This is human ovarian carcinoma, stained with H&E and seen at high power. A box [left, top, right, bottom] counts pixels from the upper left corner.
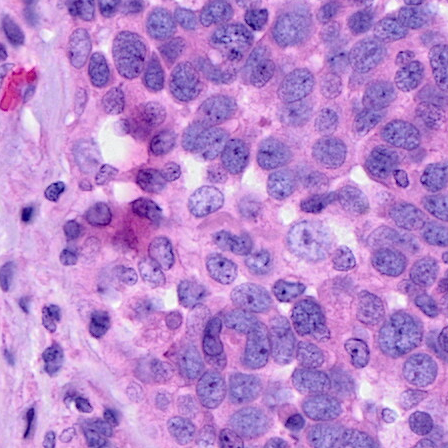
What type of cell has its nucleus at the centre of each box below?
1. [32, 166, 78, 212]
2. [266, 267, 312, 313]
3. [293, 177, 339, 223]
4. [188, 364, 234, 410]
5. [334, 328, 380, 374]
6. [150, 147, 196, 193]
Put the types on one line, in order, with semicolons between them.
lymphocyte; macrophage or monocyte; macrophage or monocyte; carcinoma cell; macrophage or monocyte; macrophage or monocyte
